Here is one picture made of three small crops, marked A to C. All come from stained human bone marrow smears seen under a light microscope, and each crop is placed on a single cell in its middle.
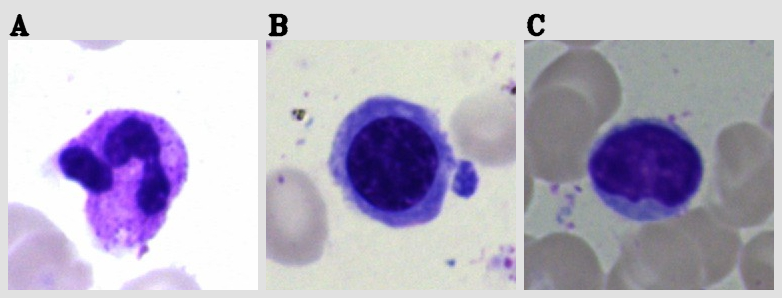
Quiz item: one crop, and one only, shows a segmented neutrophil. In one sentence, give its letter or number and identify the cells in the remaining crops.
Sorting them out, crop A is a segmented neutrophil, while crop B is an erythroblast and crop C is a lymphocyte.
